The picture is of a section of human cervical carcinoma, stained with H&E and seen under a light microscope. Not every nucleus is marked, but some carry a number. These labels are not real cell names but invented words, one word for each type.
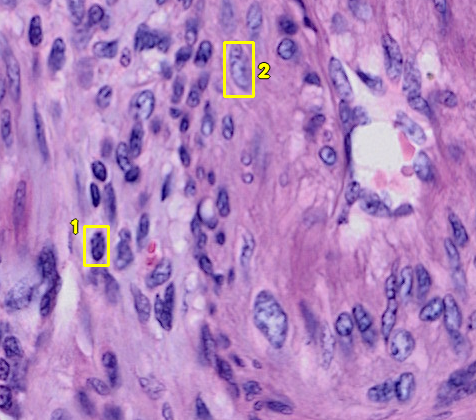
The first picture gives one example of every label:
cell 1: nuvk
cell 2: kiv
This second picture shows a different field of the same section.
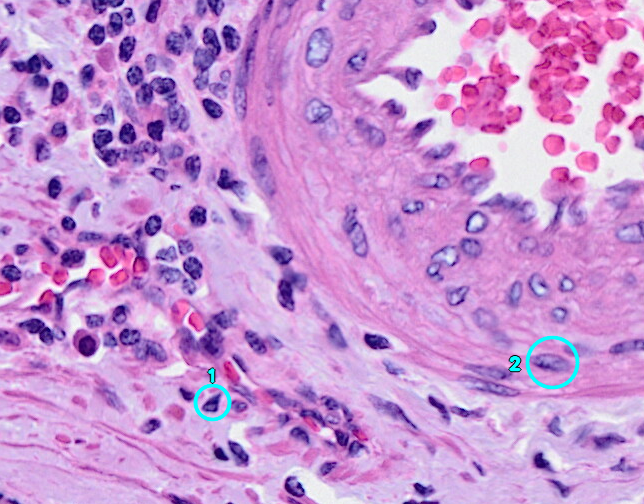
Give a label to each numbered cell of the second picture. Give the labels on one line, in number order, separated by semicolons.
nuvk; kiv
